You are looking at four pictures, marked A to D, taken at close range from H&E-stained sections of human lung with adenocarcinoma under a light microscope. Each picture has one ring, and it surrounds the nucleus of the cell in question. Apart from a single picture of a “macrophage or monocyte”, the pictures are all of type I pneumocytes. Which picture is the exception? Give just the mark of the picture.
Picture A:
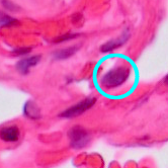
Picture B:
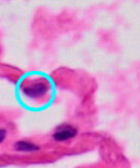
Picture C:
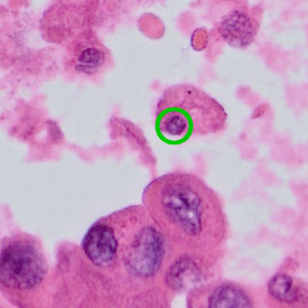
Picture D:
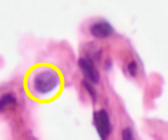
C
